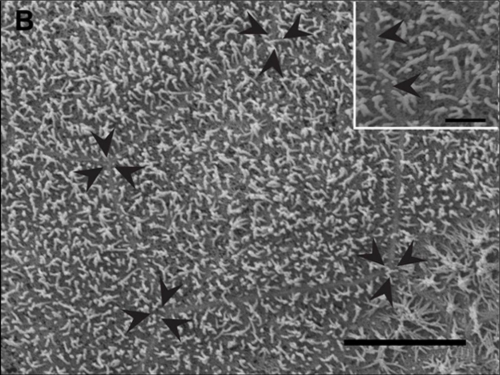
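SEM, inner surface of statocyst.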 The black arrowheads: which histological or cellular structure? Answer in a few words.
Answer: The vertex of the flat hexagonal cells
